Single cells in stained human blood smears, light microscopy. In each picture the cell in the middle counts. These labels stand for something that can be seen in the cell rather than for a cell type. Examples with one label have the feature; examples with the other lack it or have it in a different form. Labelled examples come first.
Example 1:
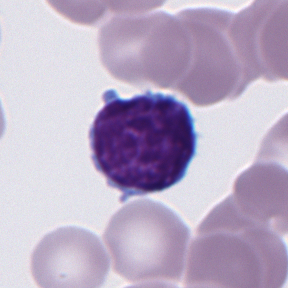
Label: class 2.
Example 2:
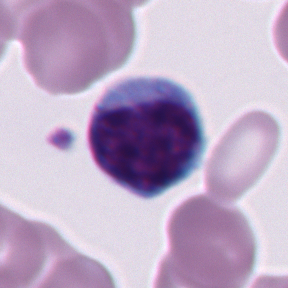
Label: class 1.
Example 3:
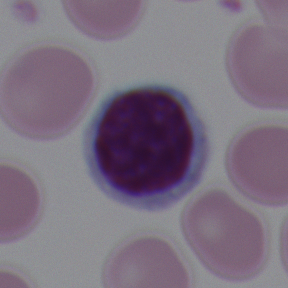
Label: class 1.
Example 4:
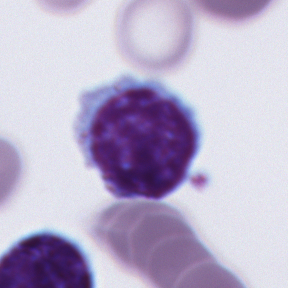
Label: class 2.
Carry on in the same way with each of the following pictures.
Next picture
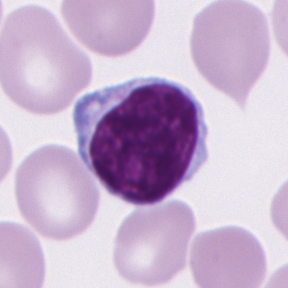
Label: class 2.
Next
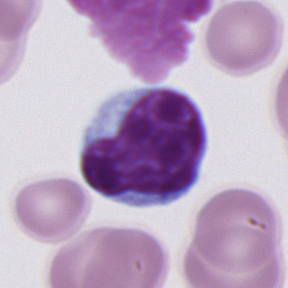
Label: class 1.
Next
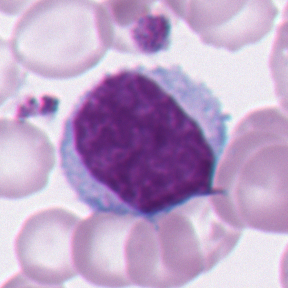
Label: class 2.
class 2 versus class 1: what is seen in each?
In class 2: ragged outline or projections. In class 1: smooth outline.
